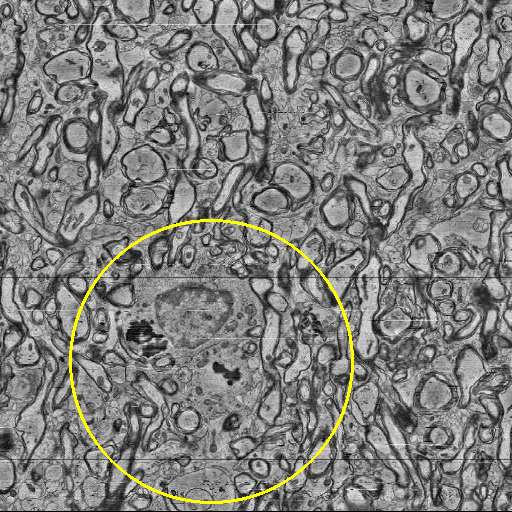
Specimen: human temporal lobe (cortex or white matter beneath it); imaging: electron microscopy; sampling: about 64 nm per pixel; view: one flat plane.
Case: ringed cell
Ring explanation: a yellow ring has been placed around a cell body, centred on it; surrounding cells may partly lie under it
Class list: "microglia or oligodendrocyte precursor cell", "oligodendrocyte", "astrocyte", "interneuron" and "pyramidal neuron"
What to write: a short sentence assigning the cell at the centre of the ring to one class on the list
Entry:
The cell at the ring's centre is an oligodendrocyte.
